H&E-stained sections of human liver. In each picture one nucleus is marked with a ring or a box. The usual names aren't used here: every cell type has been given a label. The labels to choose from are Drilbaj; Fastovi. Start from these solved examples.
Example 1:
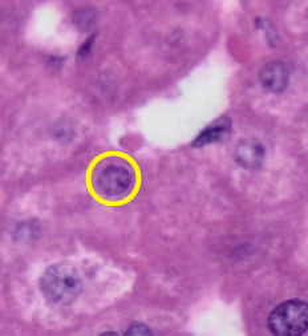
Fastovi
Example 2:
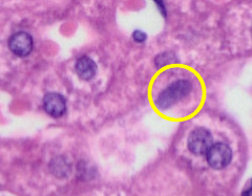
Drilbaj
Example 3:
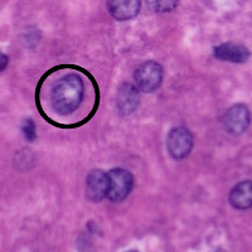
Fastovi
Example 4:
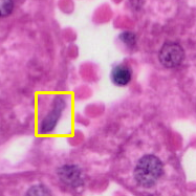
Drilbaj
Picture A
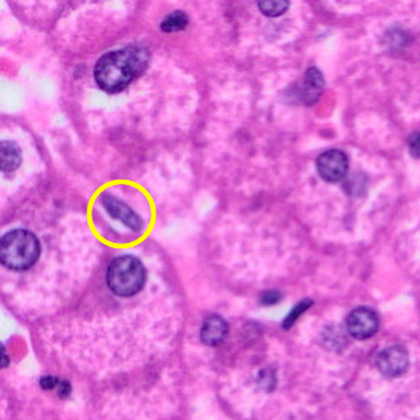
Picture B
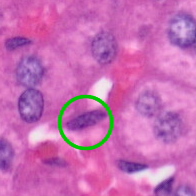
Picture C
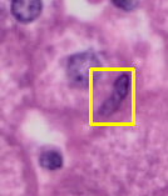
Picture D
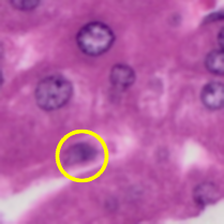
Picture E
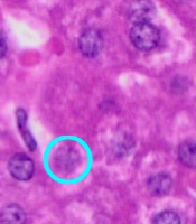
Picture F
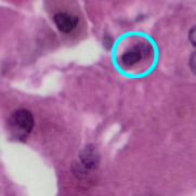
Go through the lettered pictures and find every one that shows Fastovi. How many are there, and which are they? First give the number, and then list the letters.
Count: 1 (E)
